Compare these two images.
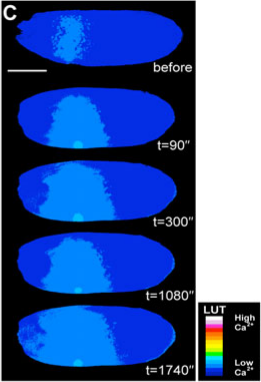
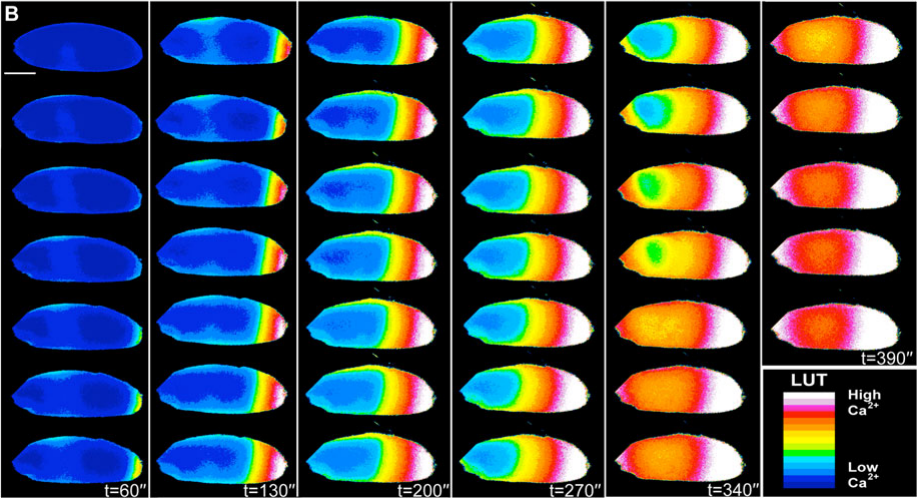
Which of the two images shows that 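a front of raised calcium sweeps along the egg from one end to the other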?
The second image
